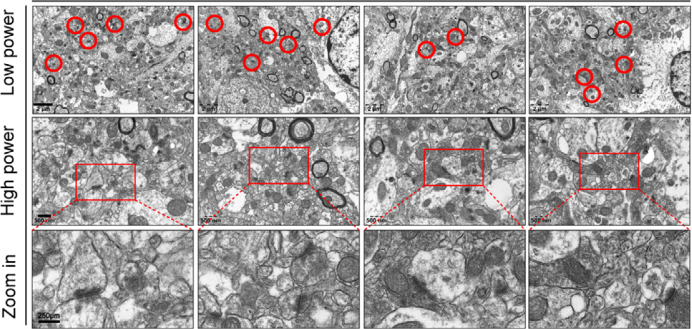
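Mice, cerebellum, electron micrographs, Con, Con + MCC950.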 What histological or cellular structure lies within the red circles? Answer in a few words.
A: Synapses.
